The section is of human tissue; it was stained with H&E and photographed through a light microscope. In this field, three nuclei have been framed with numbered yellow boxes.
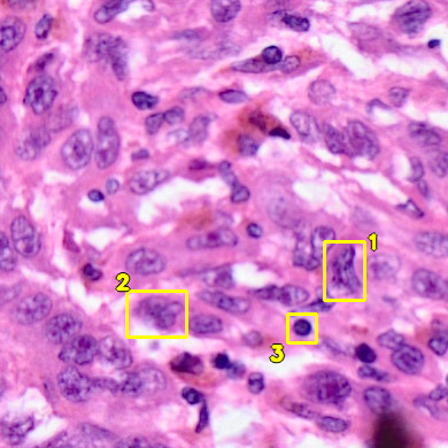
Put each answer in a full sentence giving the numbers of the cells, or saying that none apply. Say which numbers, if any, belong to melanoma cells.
The cells identified by the numbers 1 and 2 are melanoma cells.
